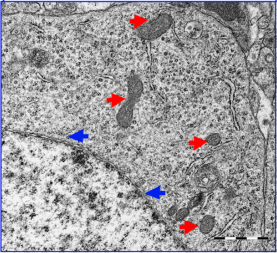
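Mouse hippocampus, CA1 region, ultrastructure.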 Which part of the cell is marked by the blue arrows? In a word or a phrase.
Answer: Nuclear membrane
